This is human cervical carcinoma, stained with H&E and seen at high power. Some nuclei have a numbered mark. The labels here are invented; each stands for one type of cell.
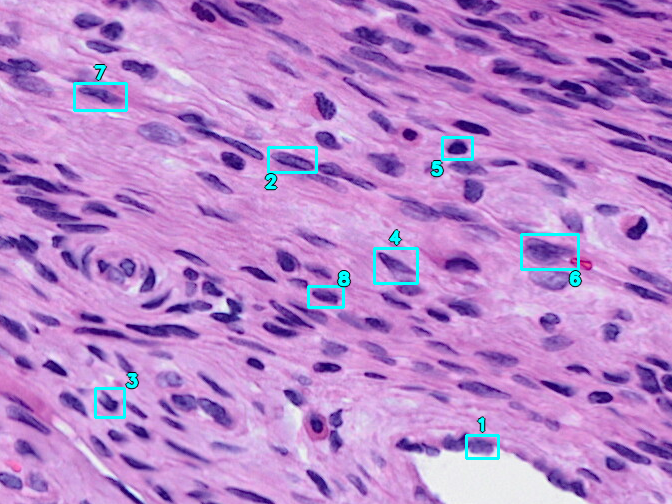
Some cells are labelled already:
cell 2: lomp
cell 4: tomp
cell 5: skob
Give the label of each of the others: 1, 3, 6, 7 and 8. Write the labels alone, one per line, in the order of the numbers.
lomp
tomp
lomp
lomp
tomp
